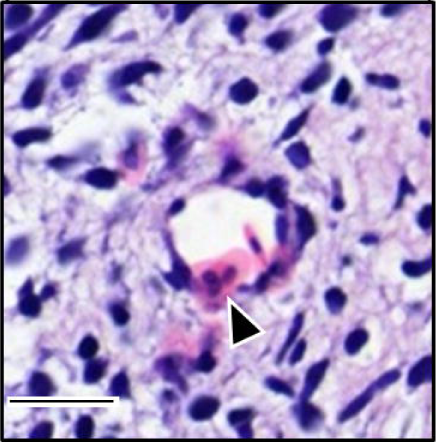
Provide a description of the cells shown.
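Many cells with elongated or oval dark purple nuclei lie scattered in a pale pink-violet fibrillar matrix, some spindle-shaped and oriented in different directions. In the middle, a round open lumen is lined by flattened cells whose nuclei curve around its rim. Inside and at the edge of the lumen sit pink-red cells with eosinophilic cytoplasm and compact dark nuclei, the appearance of nucleated erythrocytes within a small vascular channel.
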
